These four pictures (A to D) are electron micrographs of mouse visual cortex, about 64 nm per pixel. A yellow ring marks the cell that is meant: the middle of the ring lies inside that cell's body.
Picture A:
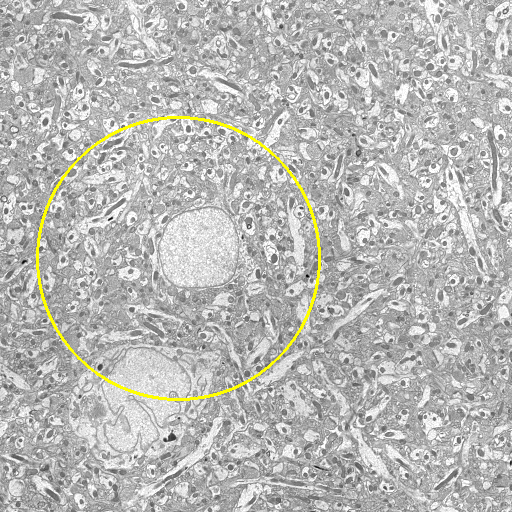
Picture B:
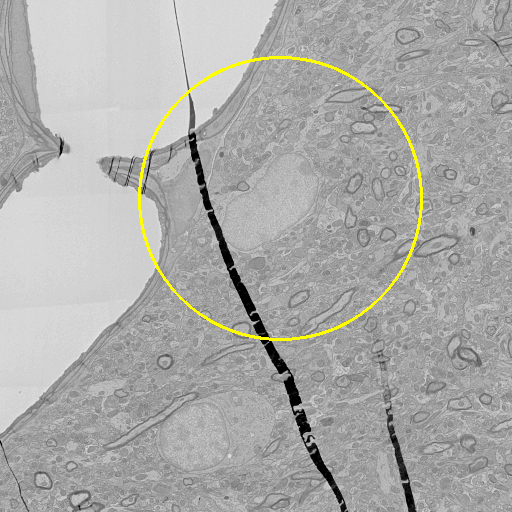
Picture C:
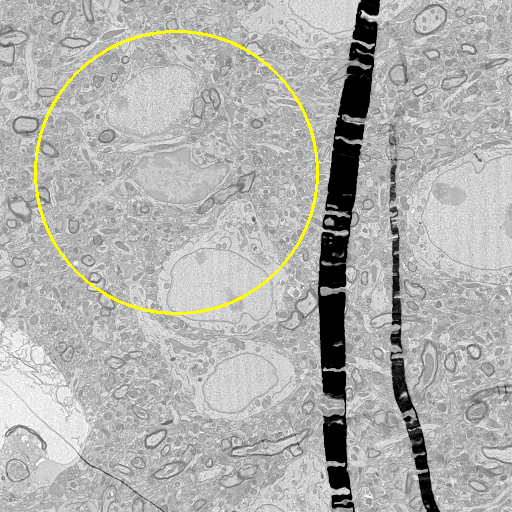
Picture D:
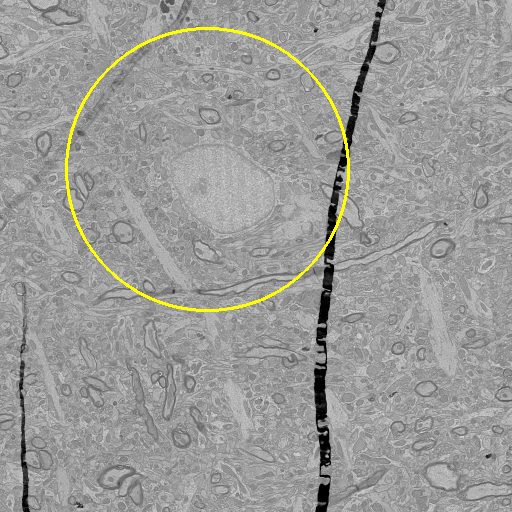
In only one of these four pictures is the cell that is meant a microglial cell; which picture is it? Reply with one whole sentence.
It is picture C that shows the microglial cell.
